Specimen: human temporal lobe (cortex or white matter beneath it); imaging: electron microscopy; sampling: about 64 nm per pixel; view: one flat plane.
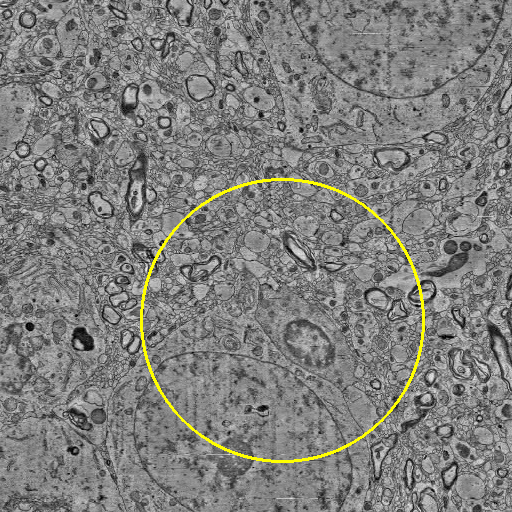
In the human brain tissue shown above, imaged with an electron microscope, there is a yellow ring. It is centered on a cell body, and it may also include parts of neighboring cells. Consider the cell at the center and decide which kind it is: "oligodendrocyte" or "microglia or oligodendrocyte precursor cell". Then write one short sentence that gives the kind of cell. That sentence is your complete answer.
This centered cell body is that of an oligodendrocyte.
